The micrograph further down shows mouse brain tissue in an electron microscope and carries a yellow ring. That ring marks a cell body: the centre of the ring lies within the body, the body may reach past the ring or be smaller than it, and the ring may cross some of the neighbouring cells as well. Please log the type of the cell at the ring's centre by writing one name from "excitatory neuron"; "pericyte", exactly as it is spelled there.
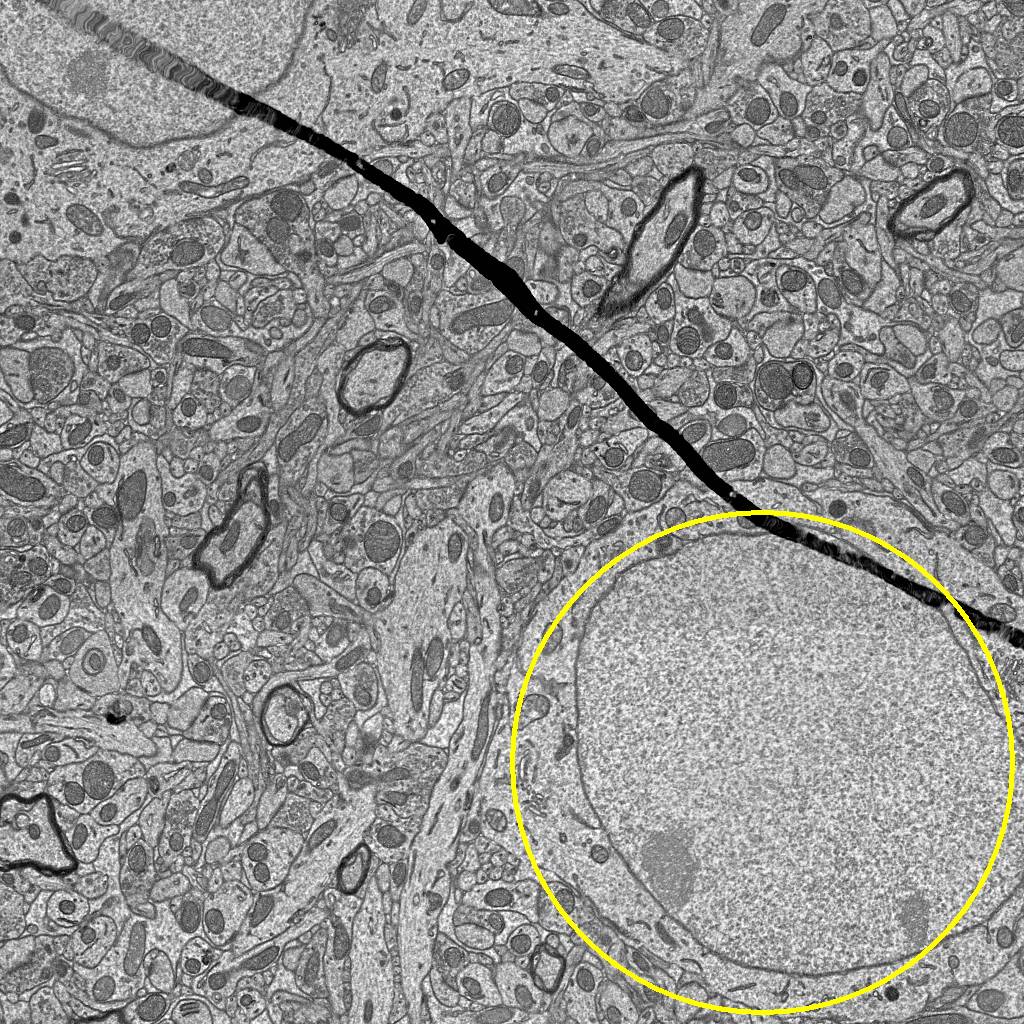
excitatory neuron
